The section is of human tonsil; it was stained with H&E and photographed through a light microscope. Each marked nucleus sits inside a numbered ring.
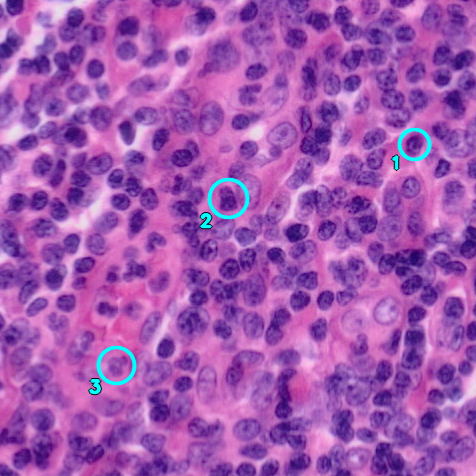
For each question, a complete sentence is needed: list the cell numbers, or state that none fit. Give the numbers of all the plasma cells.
Just the cell marked 1 is a plasma cell; none of the other marked cells is.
